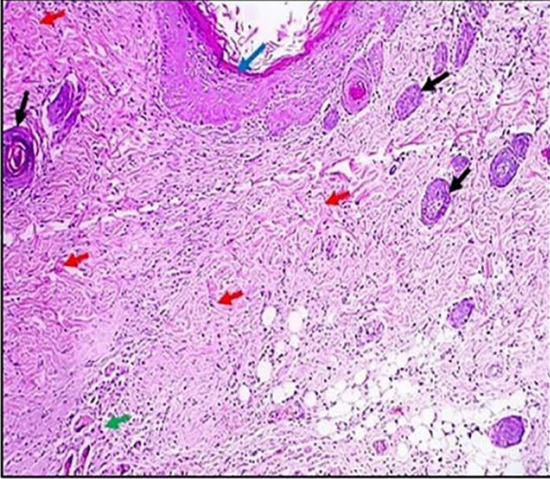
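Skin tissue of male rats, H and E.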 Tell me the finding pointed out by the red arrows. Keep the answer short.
Collagen deposition.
